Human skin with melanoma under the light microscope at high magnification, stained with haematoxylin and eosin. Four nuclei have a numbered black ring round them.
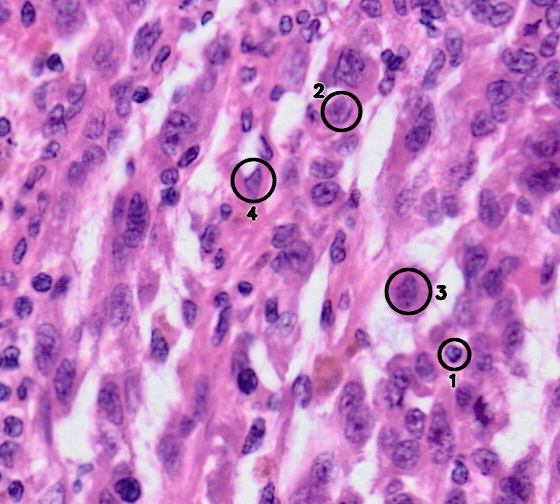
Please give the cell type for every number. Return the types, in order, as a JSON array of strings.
["lymphocyte", "melanoma cell", "melanoma cell", "endothelial cell"]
